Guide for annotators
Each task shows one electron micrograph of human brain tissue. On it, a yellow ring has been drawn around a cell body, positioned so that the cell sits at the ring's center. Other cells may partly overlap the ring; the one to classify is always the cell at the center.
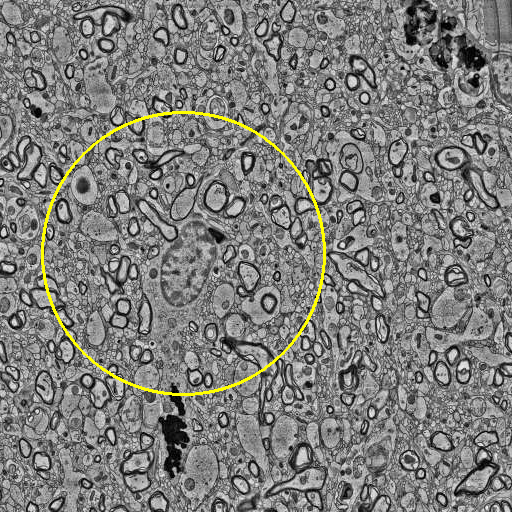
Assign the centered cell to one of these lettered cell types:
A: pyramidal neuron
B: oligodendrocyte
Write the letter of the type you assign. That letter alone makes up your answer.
B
